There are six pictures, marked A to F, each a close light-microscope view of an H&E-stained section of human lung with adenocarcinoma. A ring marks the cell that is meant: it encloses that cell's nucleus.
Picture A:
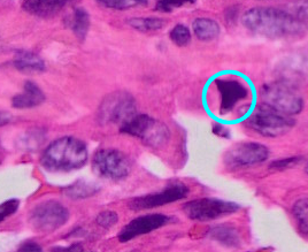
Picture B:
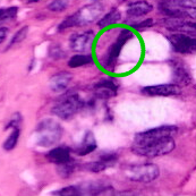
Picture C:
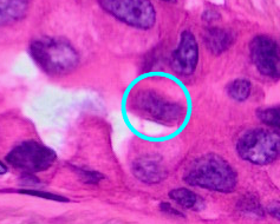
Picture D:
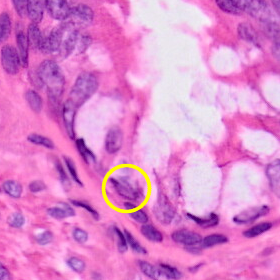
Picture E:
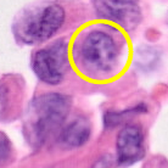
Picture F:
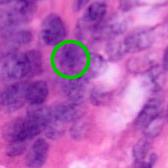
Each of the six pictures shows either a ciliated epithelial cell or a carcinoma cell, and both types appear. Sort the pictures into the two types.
A: carcinoma cell
B: ciliated epithelial cell
C: carcinoma cell
D: ciliated epithelial cell
E: carcinoma cell
F: ciliated epithelial cell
